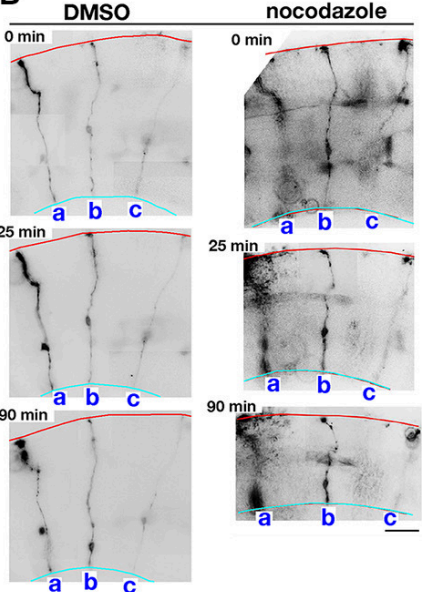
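In the left column the three cells keep roughly the same spacing over time. In the right column the wall looks shorter between its two boundaries, and the labelled cells lie farther apart at the later time points, with more diffuse background label.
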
